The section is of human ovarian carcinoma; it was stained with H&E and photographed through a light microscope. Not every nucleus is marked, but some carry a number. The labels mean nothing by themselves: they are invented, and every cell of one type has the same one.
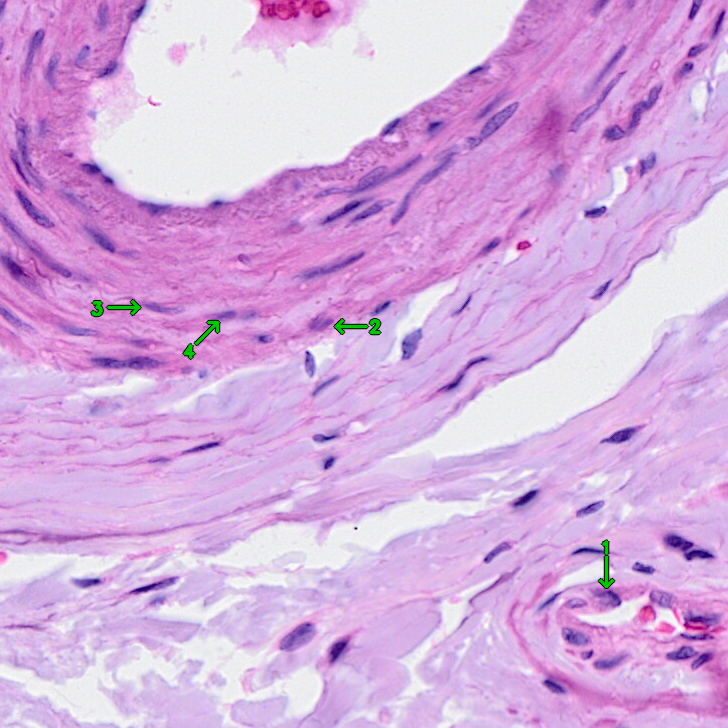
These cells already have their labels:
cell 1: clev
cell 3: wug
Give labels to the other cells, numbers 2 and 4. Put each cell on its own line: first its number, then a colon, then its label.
2: wug
4: wug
